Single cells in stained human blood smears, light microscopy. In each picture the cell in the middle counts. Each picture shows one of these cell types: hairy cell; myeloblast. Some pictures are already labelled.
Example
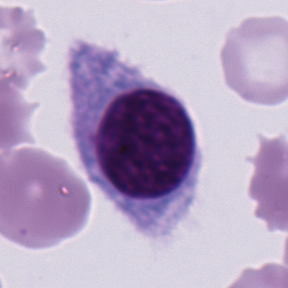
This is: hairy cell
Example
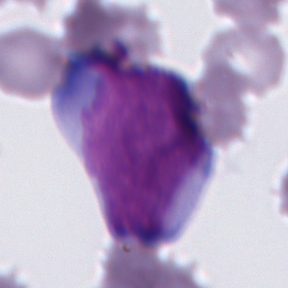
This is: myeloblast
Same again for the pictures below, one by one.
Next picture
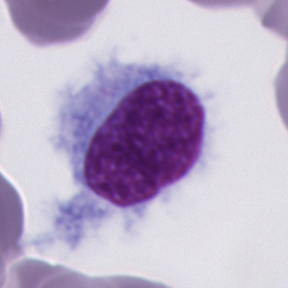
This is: hairy cell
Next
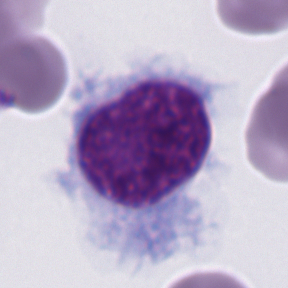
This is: hairy cell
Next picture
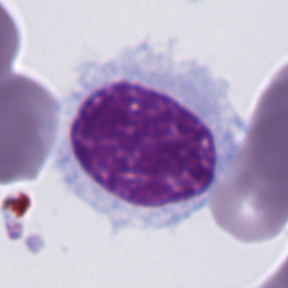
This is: hairy cell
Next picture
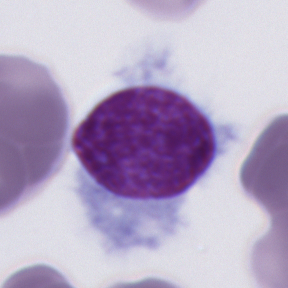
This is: hairy cell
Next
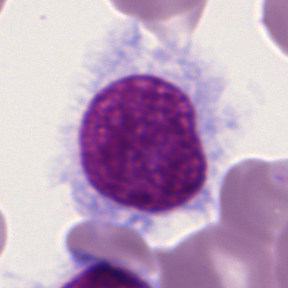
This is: hairy cell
